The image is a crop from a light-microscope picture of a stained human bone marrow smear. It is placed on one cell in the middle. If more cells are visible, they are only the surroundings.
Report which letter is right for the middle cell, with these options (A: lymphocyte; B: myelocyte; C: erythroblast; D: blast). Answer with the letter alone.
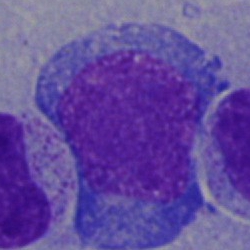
D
